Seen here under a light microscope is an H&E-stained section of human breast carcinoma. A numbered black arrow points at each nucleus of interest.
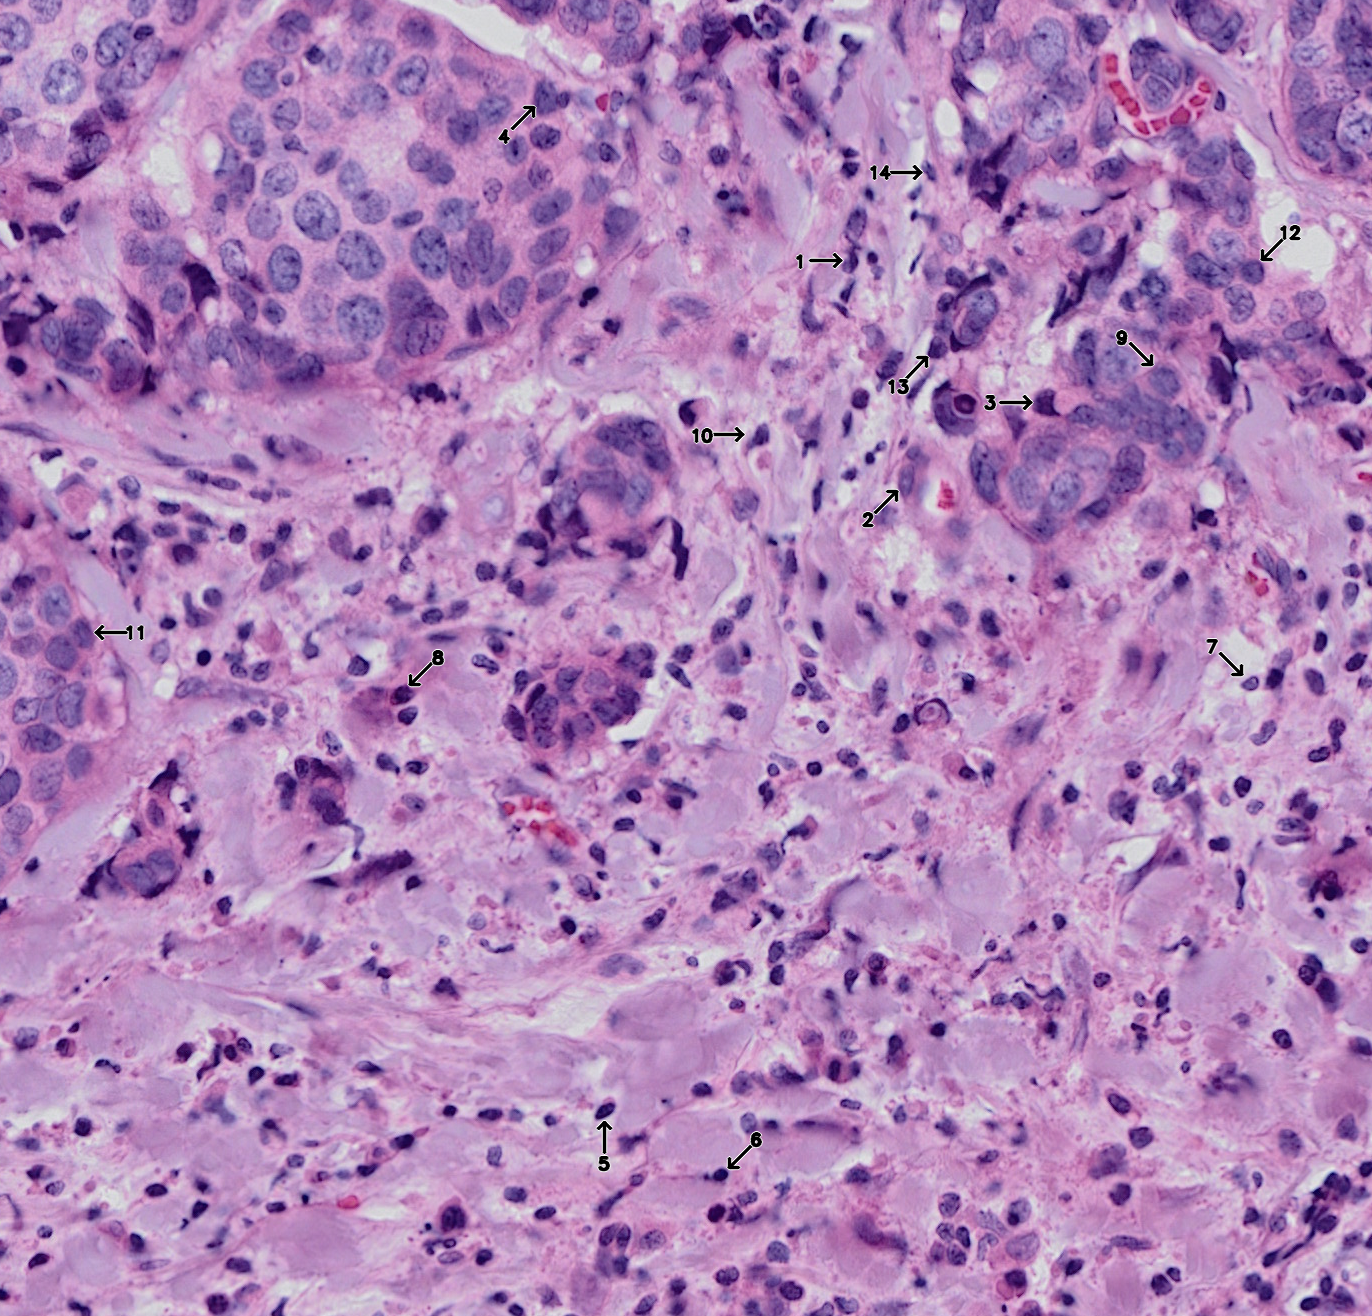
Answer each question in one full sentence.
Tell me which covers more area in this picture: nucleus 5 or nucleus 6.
At about 1.5 times the area of nucleus 6, nucleus 5 is the larger of the two.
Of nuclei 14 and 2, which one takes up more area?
It is nucleus 2, which covers about 2 times the area of nucleus 14.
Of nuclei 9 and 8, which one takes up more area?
Of the two, number 9 is bigger and takes up about 2.5 times the area of number 8.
